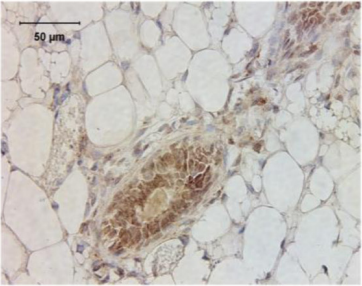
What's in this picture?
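Mammary gland with an oval duct cut obliquely, lying among adipocytes. The duct wall is a thick, multilayered epithelium whose cells carry round to oval nuclei that stain brown, with brownish cytoplasm. A small lumen in the centre contains pale material. A thin layer of flattened stromal cells encircles the duct. The surrounding fat cells appear as large empty polygonal spaces with thin walls and few flat nuclei at their edges.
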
